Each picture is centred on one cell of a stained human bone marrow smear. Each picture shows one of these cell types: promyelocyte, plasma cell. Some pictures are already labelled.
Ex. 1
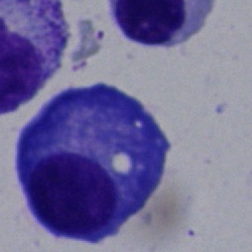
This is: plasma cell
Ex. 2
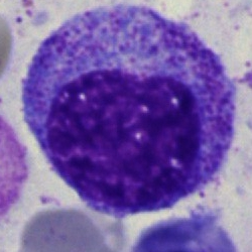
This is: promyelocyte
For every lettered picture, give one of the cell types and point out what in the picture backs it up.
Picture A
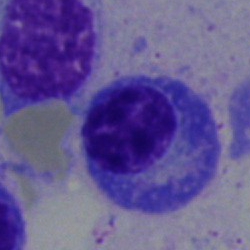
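Label: plasma cell. The chromatin is dense and coarsely clumped.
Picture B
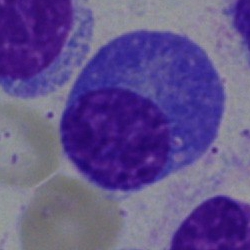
Label: plasma cell. The chromatin is coarse and clumped, with paler patches between darker masses.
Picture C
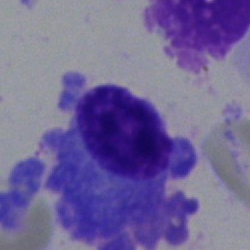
Label: plasma cell. The chromatin is dark purple and coarsely clumped, with a few paler patches.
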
